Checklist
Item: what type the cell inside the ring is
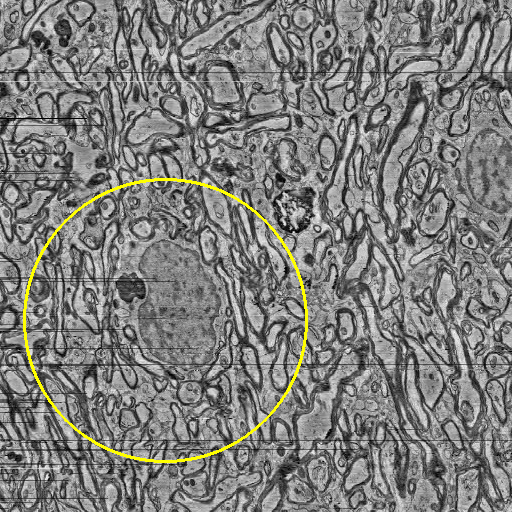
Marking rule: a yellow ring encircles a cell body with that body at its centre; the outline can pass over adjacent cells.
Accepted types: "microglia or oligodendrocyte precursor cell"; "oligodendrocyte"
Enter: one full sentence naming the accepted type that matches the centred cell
The entry is that an oligodendrocyte lies at the centre of the yellow ring.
